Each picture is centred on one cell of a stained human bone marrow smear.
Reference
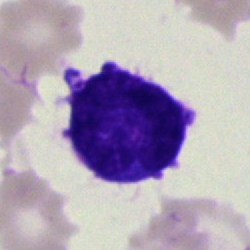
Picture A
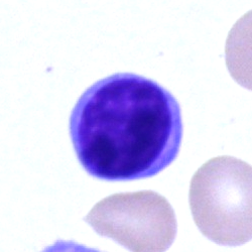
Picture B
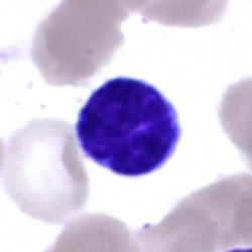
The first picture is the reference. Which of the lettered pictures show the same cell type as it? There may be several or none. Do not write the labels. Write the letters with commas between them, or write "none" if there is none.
none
